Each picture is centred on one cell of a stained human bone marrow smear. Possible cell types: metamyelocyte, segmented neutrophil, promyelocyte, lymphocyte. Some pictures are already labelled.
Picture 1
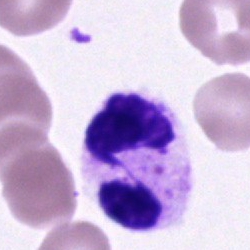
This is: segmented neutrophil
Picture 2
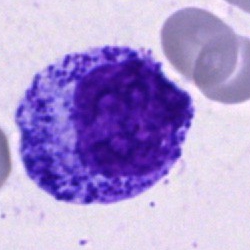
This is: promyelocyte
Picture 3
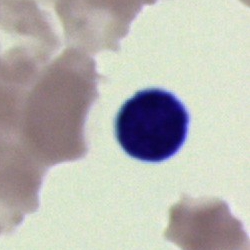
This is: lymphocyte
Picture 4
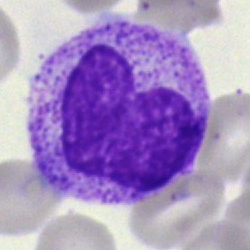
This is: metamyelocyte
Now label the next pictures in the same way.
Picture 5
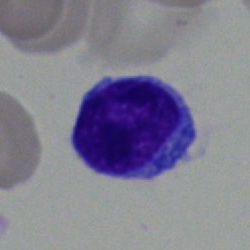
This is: lymphocyte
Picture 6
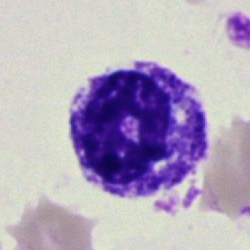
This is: segmented neutrophil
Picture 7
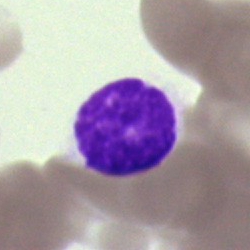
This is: lymphocyte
